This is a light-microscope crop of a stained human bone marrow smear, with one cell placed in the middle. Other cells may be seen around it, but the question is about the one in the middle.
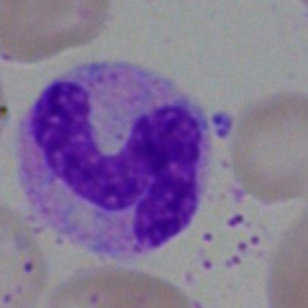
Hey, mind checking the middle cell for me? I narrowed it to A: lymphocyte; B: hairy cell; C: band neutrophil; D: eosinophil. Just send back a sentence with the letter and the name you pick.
Option C is right, the centrally situated cell being a band neutrophil.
